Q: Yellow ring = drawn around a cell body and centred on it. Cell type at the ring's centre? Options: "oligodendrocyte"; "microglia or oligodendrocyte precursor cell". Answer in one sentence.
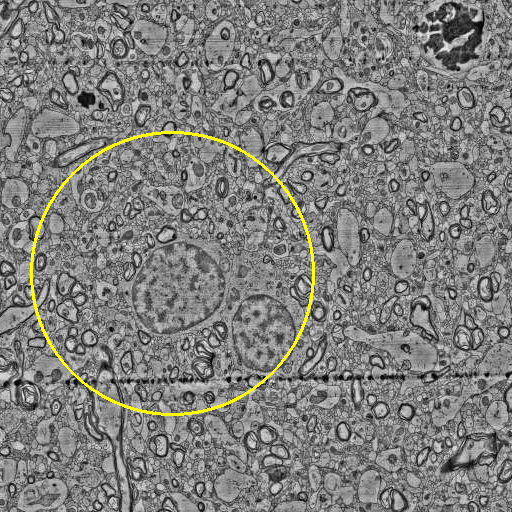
Centred in the ring is an oligodendrocyte.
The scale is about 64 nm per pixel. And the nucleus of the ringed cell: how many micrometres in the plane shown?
About 6 micrometers across, in this plane.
